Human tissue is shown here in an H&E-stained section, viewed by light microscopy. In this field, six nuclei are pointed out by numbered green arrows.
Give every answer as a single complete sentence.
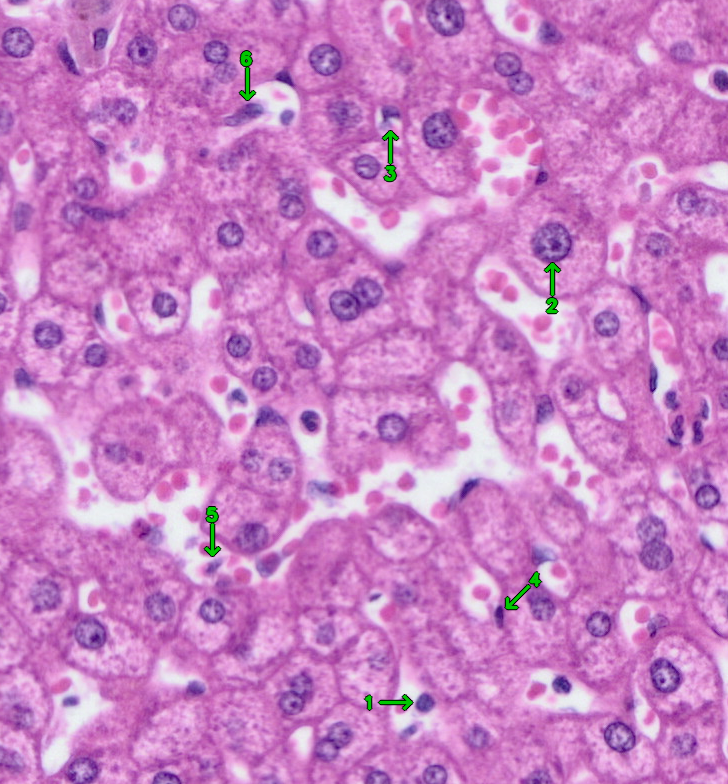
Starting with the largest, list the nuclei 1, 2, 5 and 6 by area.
The nuclei rank 2, 6, 1, 5, from largest to smallest.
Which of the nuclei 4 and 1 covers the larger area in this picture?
Nucleus 1 is larger, with an area about 1.5 times that of nucleus 4.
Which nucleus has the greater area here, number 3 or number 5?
It is nucleus 3, which covers about 2 times the area of nucleus 5.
